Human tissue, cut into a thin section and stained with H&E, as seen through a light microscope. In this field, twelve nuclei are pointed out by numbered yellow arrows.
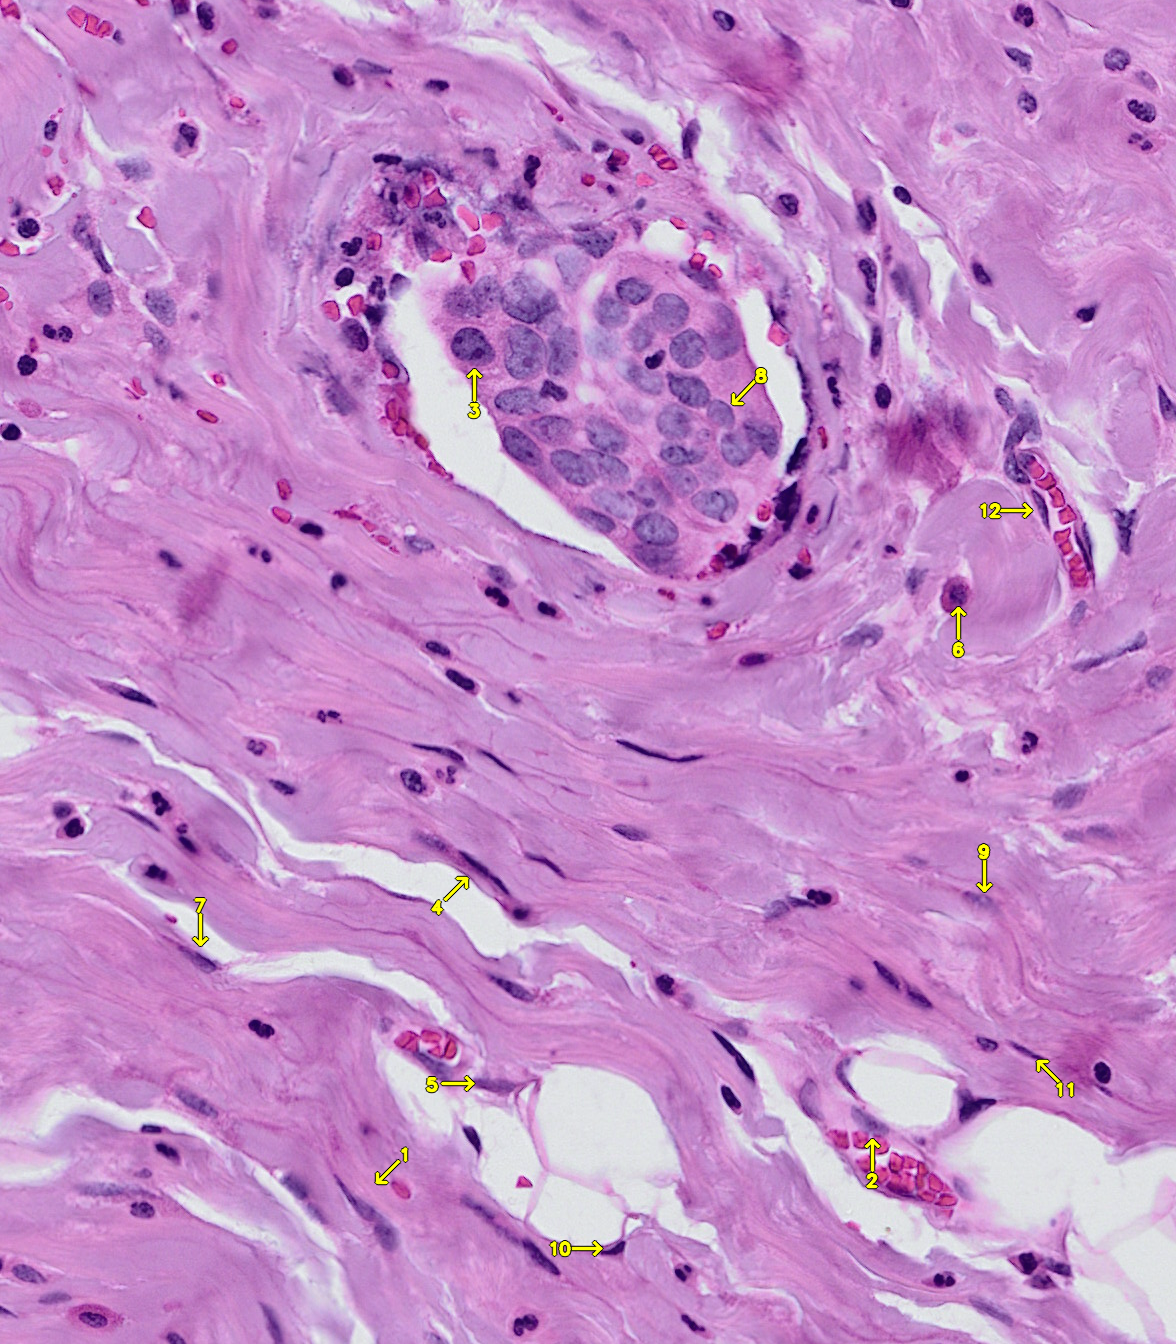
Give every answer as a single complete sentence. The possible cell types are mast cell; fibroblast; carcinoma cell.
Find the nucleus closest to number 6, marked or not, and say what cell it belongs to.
The cell nearest to number 6 is a fibroblast.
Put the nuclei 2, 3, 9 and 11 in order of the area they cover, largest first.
Going from the biggest nucleus down to the smallest gives 3, 2, 9, 11.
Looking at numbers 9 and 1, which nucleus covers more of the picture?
Nucleus 1 is the larger one, covering about 1.5 times the area of nucleus 9.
